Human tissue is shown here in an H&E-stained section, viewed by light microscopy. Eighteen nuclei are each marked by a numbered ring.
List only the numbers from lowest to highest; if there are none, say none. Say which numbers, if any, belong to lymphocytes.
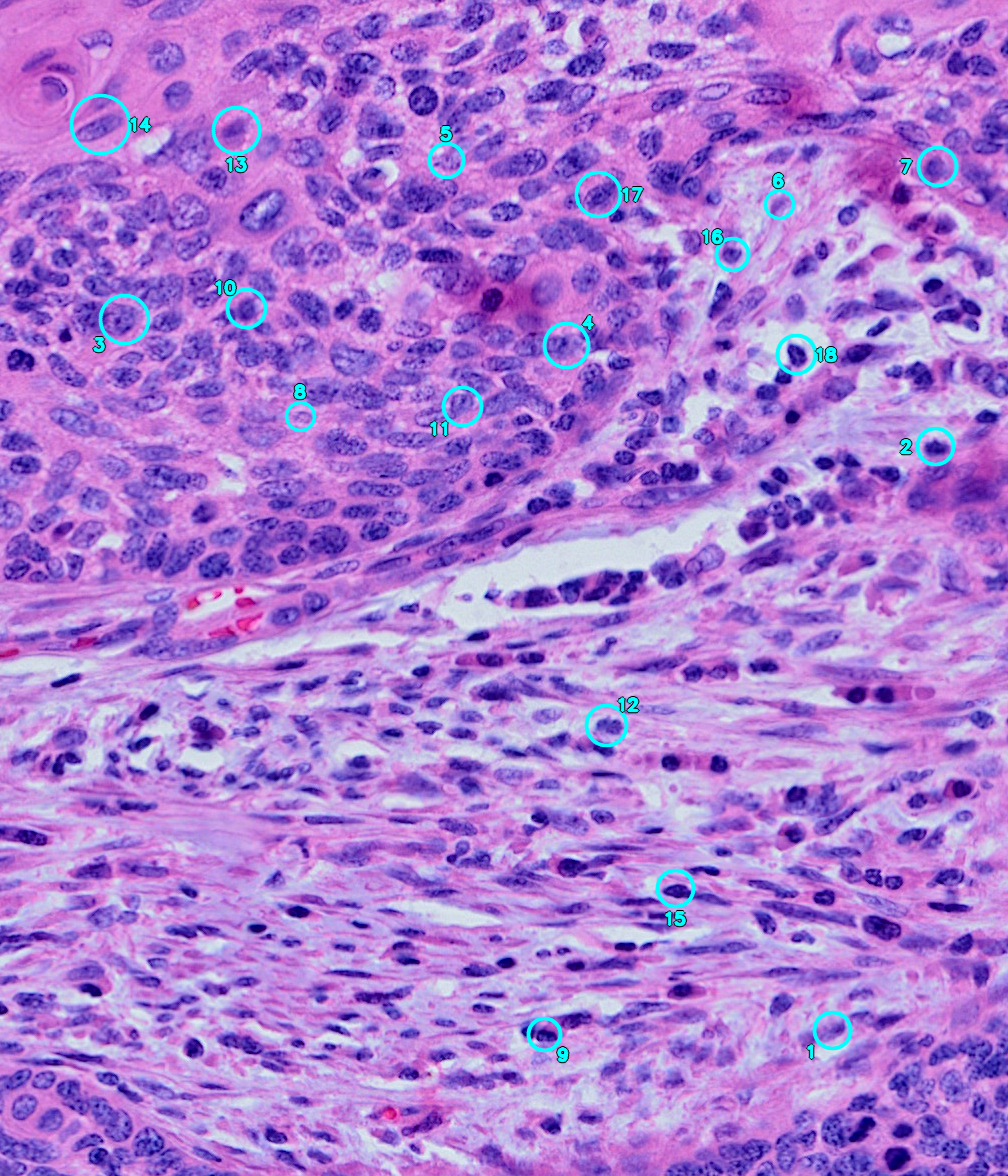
2, 9, 12, 15, 16, 18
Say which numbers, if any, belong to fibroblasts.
1, 6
